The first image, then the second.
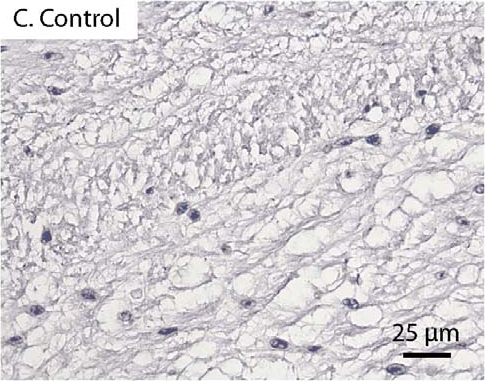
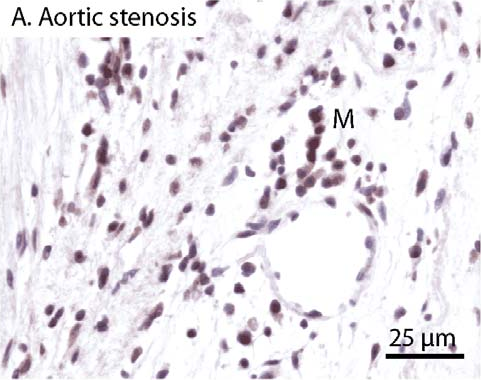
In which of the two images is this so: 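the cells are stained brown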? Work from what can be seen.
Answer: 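First image: nuclei are blue only, on a pale unstained matrix. Second image: many cells are dark brownish-purple.
Answer: the second image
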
